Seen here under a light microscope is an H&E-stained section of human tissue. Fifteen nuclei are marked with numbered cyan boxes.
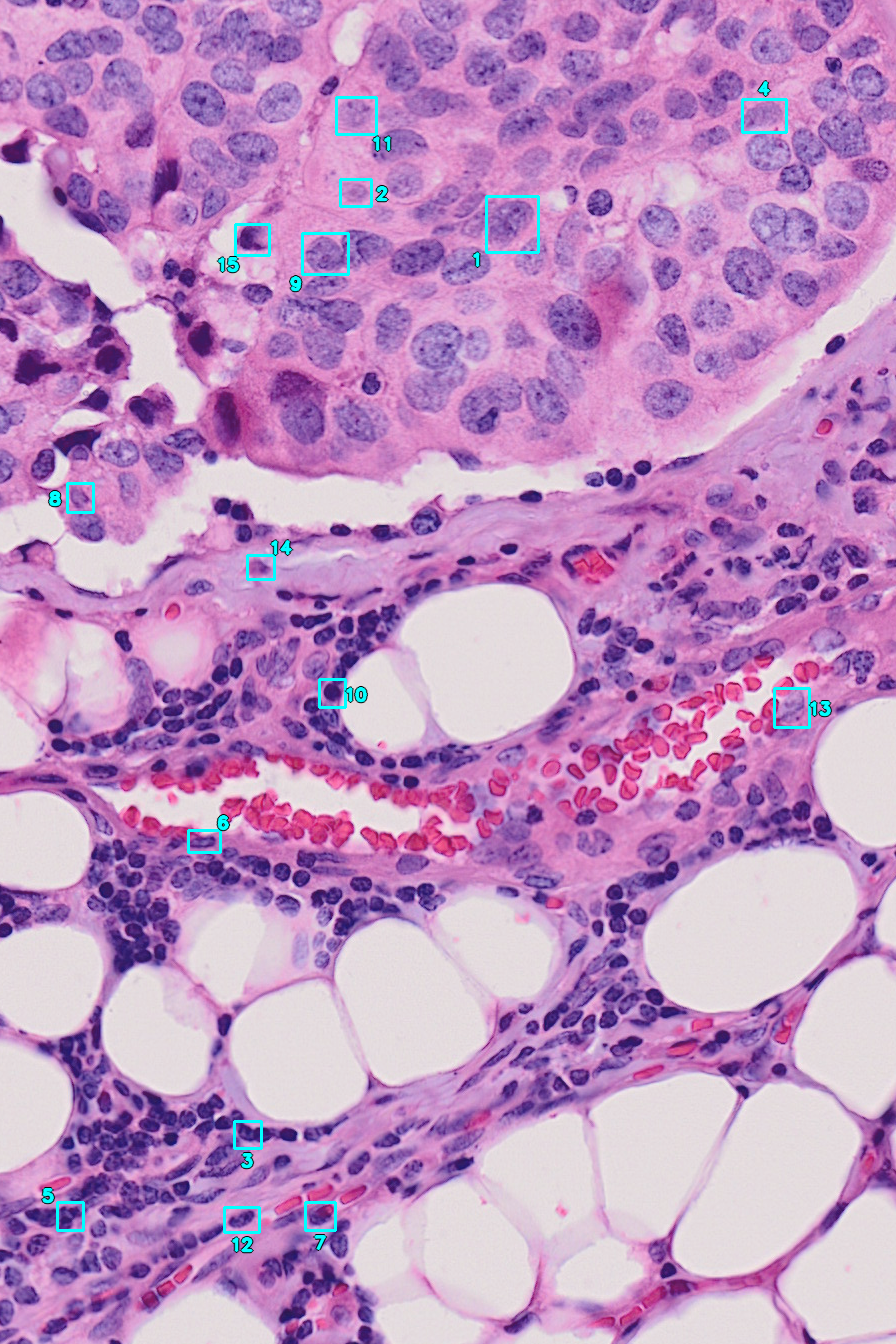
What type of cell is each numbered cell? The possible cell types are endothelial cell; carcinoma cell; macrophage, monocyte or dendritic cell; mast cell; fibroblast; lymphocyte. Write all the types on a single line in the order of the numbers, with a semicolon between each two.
carcinoma cell; carcinoma cell; lymphocyte; carcinoma cell; lymphocyte; endothelial cell; endothelial cell; carcinoma cell; carcinoma cell; lymphocyte; carcinoma cell; lymphocyte; endothelial cell; mast cell; carcinoma cell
